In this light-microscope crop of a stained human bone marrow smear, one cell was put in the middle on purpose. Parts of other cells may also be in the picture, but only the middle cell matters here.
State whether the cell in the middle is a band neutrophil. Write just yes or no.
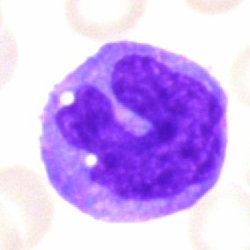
no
